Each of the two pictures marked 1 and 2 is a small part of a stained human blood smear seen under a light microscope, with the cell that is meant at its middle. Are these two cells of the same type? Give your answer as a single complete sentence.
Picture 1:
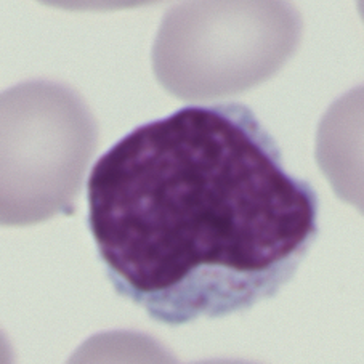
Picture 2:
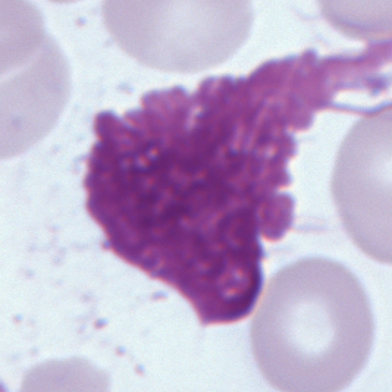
No. Picture 1 shows a typical lymphocyte, but picture 2 shows a smudge cell.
